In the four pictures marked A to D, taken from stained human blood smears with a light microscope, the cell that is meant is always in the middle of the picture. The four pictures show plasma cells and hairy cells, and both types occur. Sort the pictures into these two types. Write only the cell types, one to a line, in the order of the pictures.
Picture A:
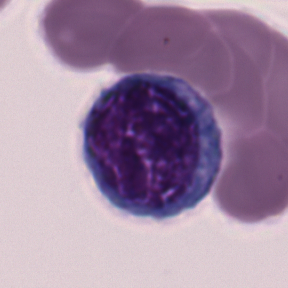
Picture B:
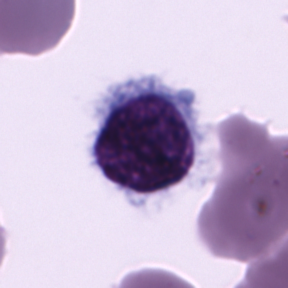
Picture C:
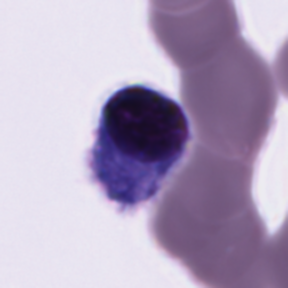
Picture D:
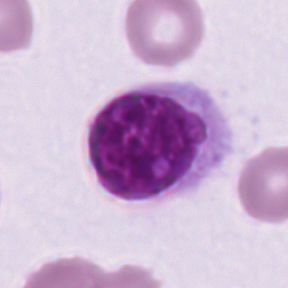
plasma cell
hairy cell
plasma cell
plasma cell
